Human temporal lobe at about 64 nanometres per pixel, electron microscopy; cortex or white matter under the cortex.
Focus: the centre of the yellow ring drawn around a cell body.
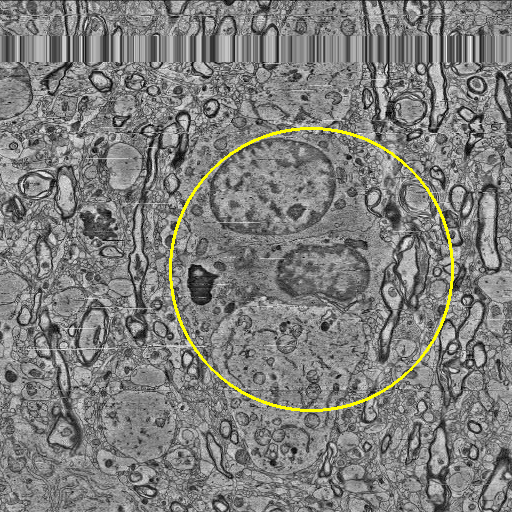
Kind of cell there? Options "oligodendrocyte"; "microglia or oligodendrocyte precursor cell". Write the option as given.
oligodendrocyte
